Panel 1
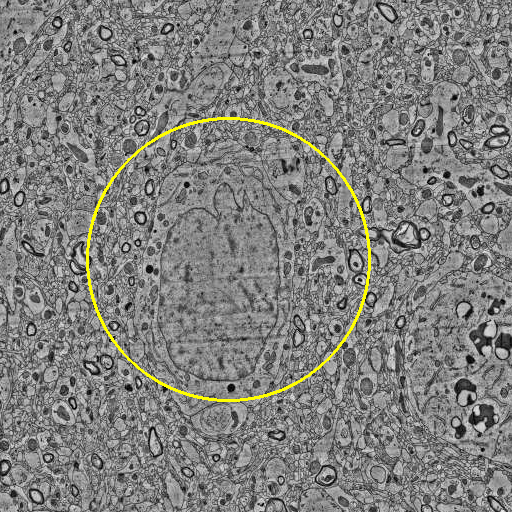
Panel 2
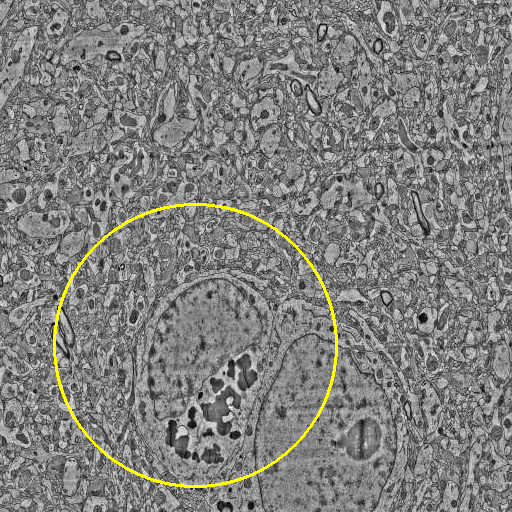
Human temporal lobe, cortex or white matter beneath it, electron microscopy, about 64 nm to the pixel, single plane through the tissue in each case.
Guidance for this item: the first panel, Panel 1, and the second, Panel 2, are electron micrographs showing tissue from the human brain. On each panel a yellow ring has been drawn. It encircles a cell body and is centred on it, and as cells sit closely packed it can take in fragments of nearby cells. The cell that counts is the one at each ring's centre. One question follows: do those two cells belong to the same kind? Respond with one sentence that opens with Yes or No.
Yes, the cells at the ring centres in Panel 1 and Panel 2 are of one kind.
